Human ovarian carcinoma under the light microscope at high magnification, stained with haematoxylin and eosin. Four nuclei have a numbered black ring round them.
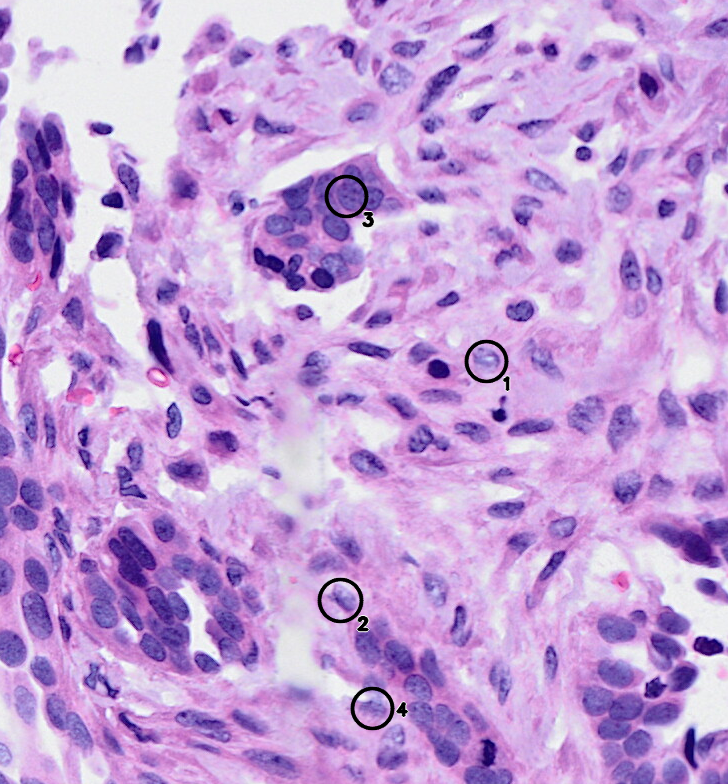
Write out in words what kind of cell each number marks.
Cells 1, 2 and 4 are fibroblasts. Cell 3 is a carcinoma cell.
